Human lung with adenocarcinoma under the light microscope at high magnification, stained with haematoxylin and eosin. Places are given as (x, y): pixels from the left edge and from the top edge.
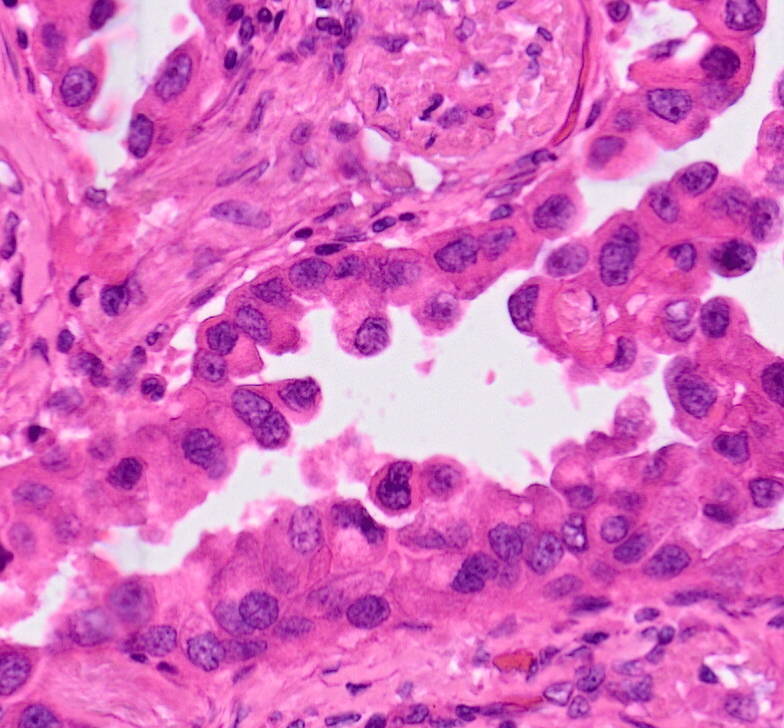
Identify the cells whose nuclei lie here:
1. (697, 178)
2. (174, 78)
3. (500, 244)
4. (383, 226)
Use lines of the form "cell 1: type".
cell 1: carcinoma cell
cell 2: carcinoma cell
cell 3: carcinoma cell
cell 4: lymphocyte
